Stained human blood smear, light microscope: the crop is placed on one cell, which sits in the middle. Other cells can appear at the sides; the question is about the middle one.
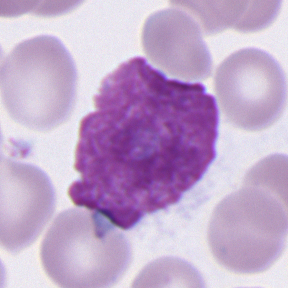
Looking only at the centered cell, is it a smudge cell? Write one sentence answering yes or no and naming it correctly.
Yes, a smudge cell is what the central cell is.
